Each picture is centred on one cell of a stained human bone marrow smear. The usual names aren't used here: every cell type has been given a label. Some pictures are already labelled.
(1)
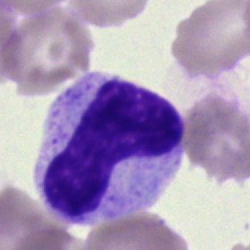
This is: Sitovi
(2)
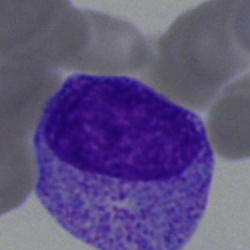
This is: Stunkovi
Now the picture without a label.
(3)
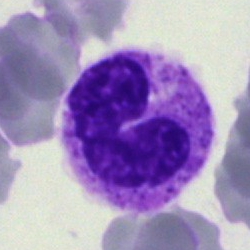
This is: Sitovi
